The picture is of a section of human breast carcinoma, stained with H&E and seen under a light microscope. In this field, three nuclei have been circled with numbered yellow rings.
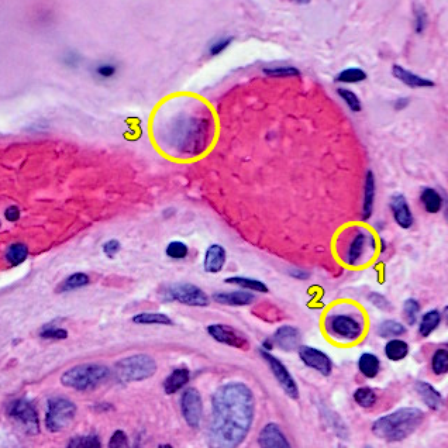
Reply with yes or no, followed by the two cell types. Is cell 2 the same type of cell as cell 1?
No, whereas cell 1 is an endothelial cell, cell 2 is a mast cell.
